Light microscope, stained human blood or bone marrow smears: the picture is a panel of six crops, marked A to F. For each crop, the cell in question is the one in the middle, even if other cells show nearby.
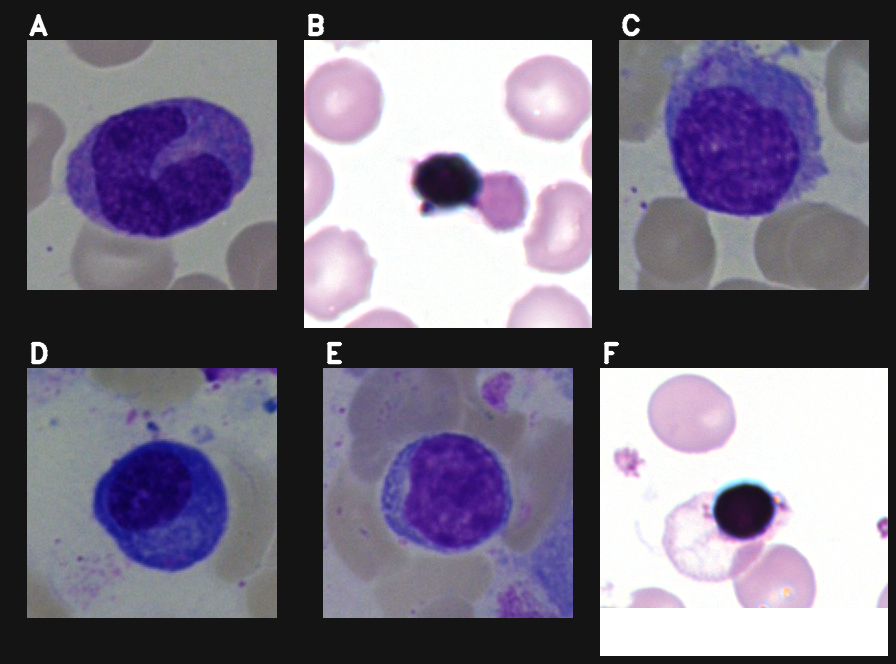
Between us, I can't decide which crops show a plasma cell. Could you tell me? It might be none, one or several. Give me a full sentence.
Found in crop D and nowhere else in the set is a plasma cell.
